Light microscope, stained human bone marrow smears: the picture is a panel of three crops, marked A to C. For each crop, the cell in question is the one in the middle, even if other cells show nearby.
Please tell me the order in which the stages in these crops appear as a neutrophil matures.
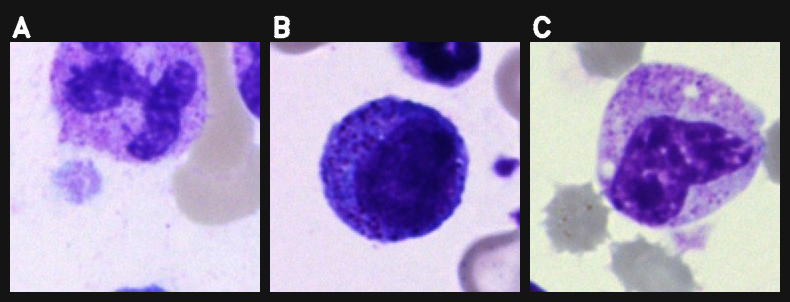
B, C, A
